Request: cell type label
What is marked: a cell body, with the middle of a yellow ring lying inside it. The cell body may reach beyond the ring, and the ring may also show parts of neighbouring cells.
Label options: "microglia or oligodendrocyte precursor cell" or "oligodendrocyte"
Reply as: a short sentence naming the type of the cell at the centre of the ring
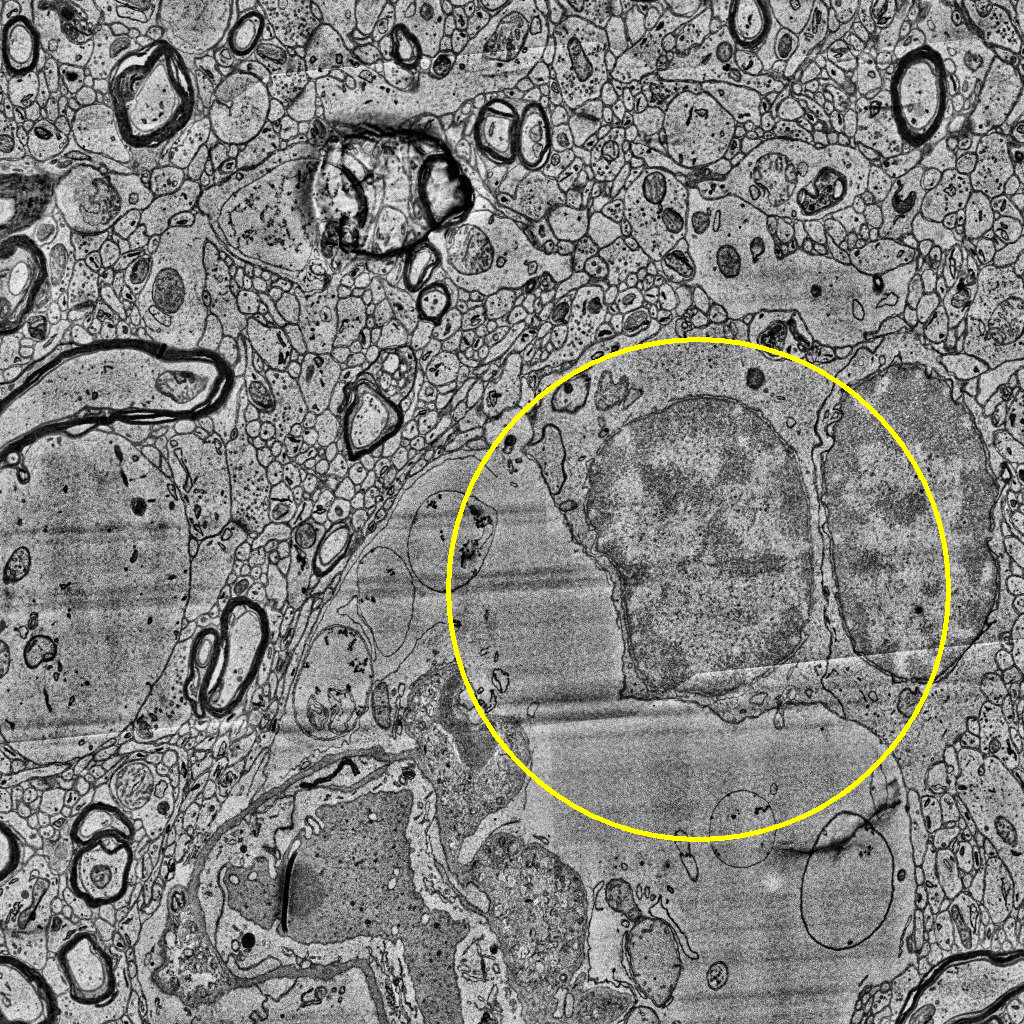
The marked cell body is that of an oligodendrocyte.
